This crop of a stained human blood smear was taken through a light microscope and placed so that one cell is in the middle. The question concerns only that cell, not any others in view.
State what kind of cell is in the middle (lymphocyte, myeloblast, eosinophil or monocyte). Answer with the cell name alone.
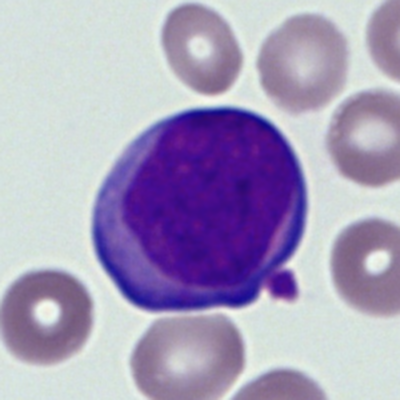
myeloblast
